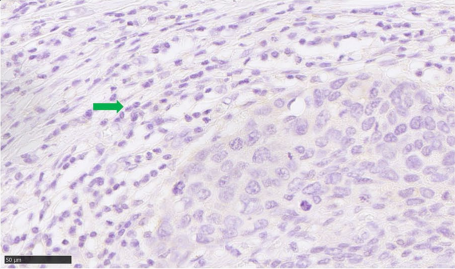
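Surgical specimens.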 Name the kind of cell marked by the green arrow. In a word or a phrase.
Immune cells.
